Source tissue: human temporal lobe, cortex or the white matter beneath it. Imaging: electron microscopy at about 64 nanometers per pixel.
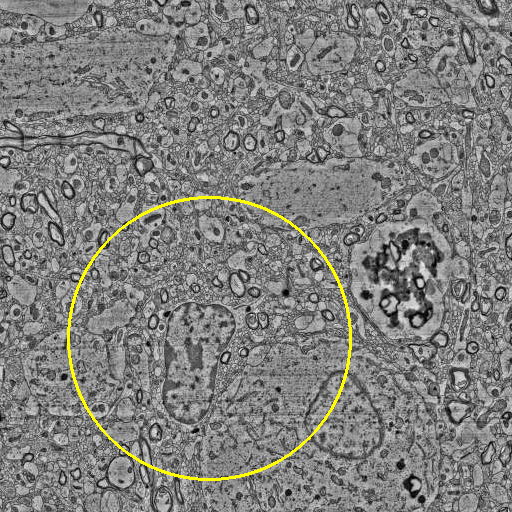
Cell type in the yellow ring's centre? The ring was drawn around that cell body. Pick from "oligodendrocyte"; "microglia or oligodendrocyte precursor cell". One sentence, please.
The ringed cell body is that of a microglial cell or oligodendrocyte precursor cell.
